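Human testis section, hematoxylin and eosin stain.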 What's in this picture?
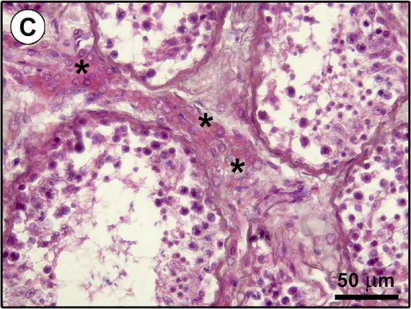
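The tubules are lined by many layers of germ cells with round, dark-purple nuclei, and their centres are pale and open. Each tubule is bounded by a thin pink wall. In the space between the tubules lie groups of larger cells with plentiful pink cytoplasm and round nuclei; these are the Leydig cells.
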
